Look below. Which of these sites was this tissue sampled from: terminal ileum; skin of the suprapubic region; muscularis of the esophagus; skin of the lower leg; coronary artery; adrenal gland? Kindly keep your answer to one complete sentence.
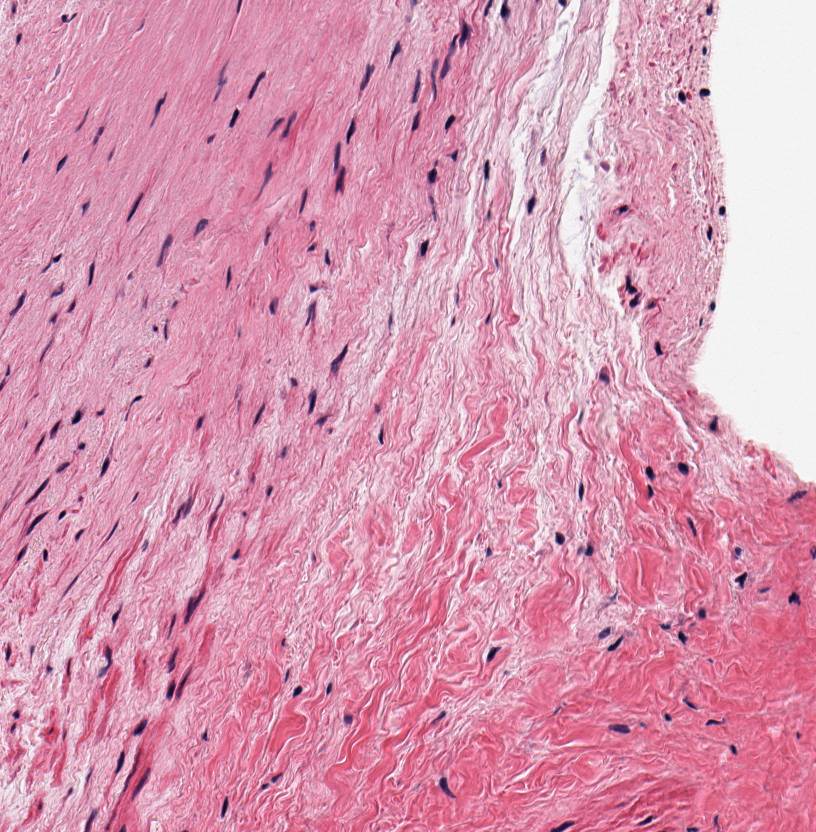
A sample from the coronary artery makes up this section.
